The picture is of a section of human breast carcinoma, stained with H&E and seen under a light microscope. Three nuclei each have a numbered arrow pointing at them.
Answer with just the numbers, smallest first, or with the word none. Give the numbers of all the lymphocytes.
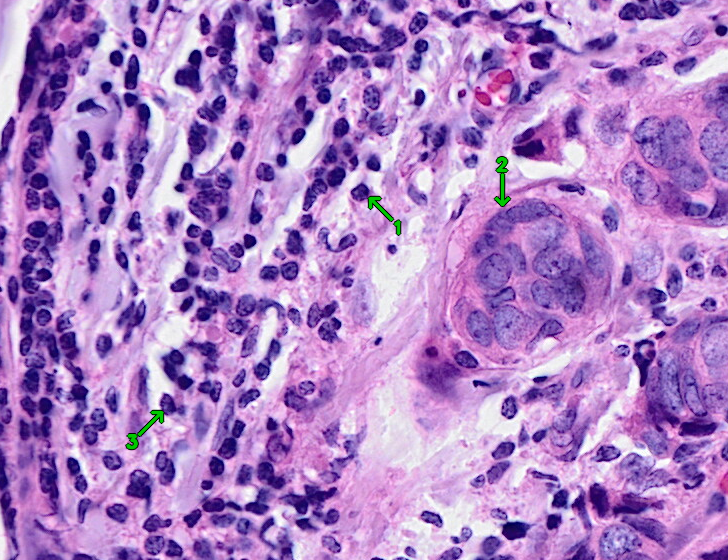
1, 3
